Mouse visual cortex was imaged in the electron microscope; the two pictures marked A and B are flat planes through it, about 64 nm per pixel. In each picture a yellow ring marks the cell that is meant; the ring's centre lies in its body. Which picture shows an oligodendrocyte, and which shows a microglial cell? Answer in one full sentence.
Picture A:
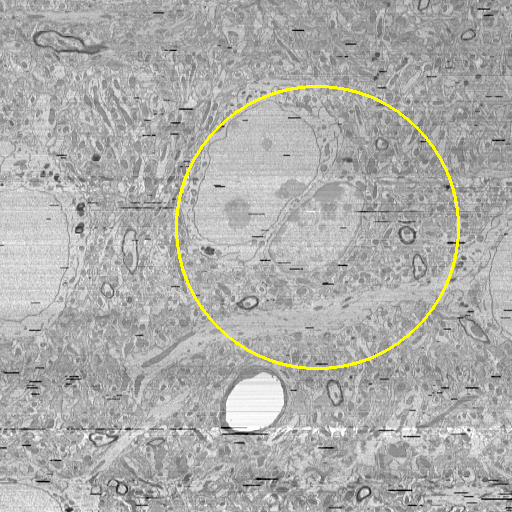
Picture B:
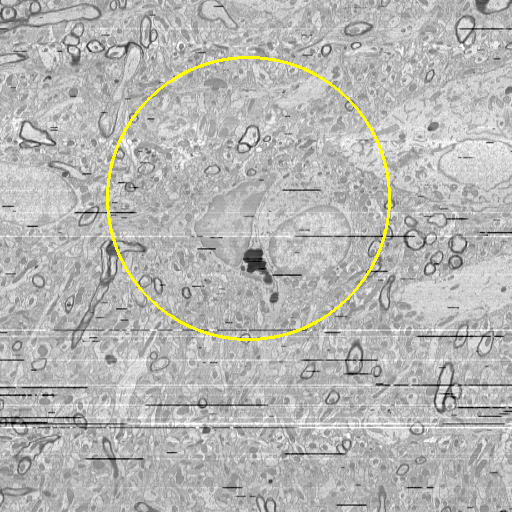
It is picture A that shows an oligodendrocyte, and picture B that shows a microglial cell.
